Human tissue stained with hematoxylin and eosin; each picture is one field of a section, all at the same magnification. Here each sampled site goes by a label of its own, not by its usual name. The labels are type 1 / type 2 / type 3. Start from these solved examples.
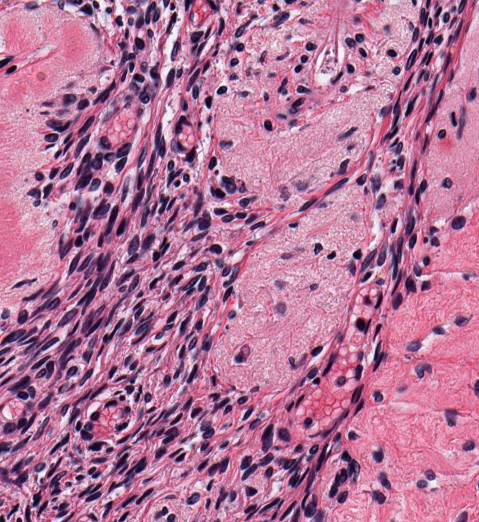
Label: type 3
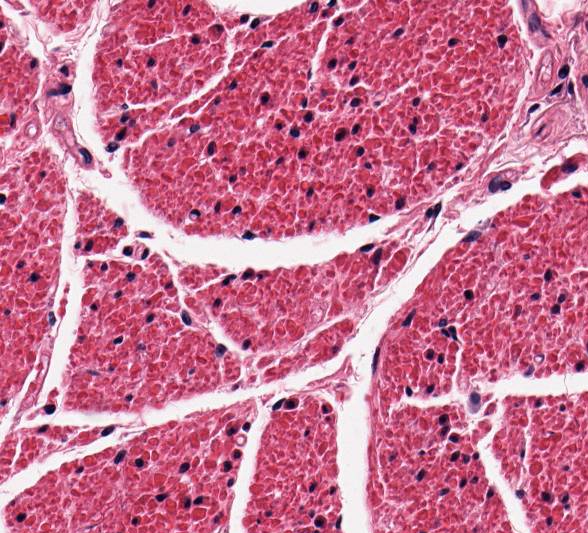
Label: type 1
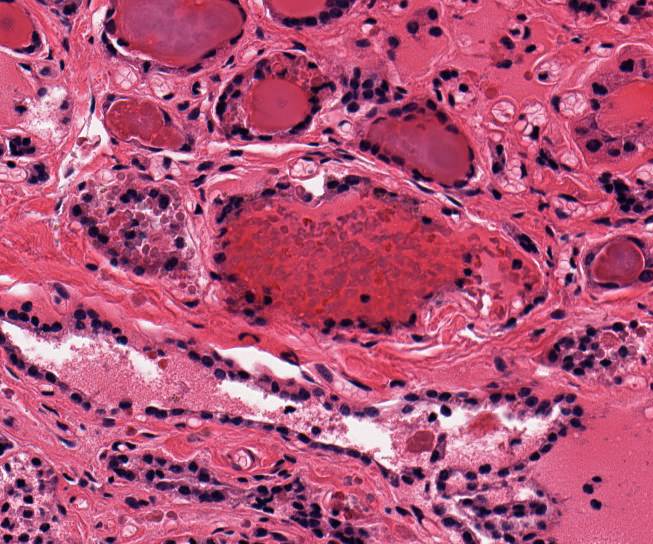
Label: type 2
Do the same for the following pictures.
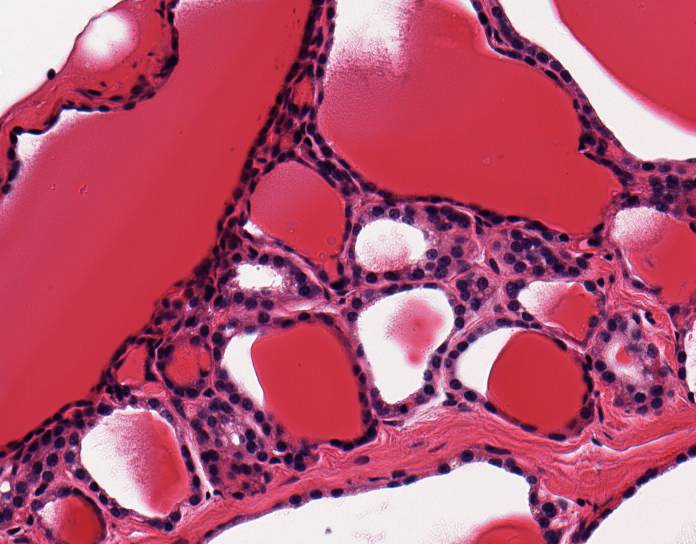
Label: type 2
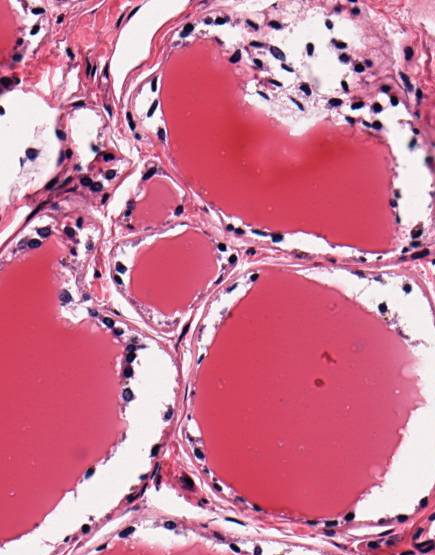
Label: type 2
